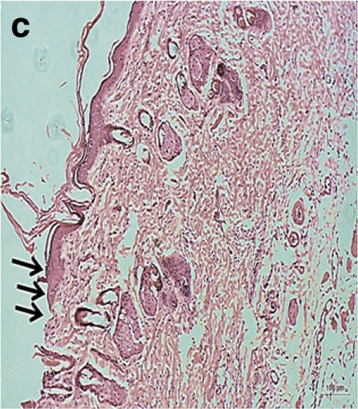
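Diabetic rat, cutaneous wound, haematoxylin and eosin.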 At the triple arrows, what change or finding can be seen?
irregular epidermis morphology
